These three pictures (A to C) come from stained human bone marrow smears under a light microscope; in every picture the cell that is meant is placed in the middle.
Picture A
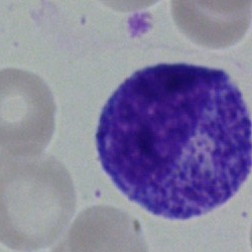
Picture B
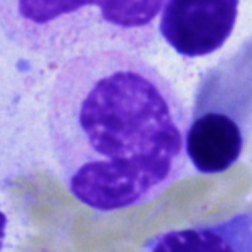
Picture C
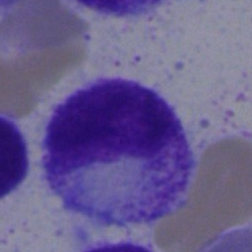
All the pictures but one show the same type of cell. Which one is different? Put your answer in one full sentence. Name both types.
Unlike the rest, which show metamyelocytes, picture A shows a myelocyte.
